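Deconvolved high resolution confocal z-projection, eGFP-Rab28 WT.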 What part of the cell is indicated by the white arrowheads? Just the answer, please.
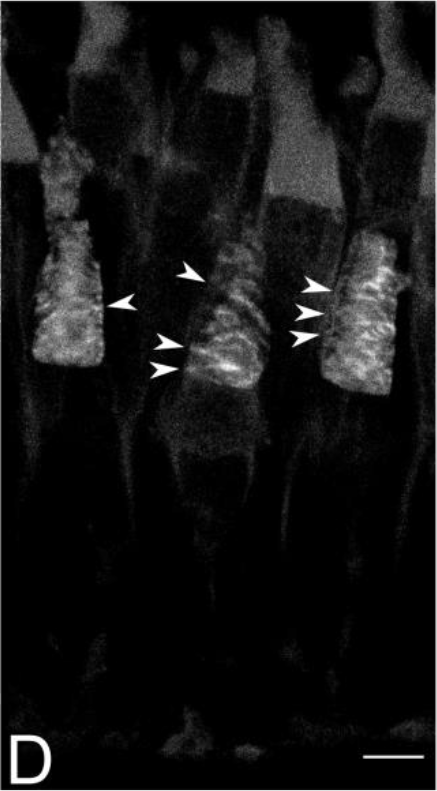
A: Discrete bands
